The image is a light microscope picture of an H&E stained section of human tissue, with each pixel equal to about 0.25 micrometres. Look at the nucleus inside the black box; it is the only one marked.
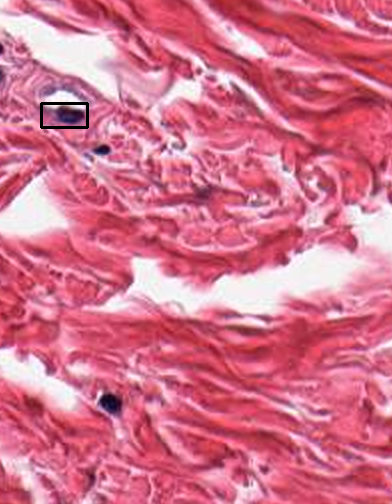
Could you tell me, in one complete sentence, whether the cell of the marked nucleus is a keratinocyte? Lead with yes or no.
No, the cell whose nucleus is marked is a supporting cell and not a keratinocyte.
